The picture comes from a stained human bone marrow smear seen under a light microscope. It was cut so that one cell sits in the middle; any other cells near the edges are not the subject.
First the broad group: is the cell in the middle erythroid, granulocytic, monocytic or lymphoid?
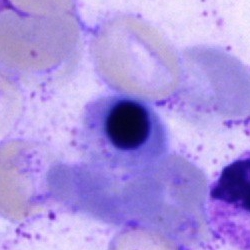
erythroid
